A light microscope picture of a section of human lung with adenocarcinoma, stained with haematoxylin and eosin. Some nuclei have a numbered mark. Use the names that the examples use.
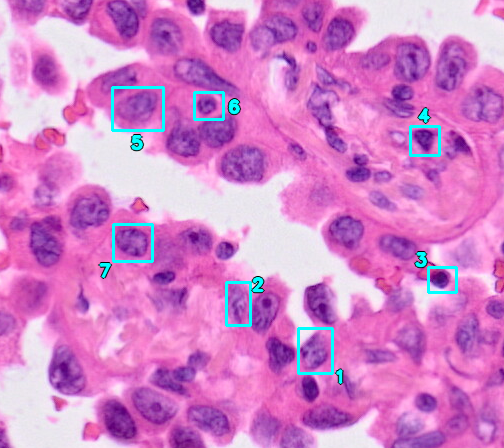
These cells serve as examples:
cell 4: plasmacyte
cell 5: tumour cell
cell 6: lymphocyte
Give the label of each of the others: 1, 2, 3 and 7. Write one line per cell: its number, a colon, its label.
1: tumour cell
2: tumour cell
3: lymphocyte
7: tumour cell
